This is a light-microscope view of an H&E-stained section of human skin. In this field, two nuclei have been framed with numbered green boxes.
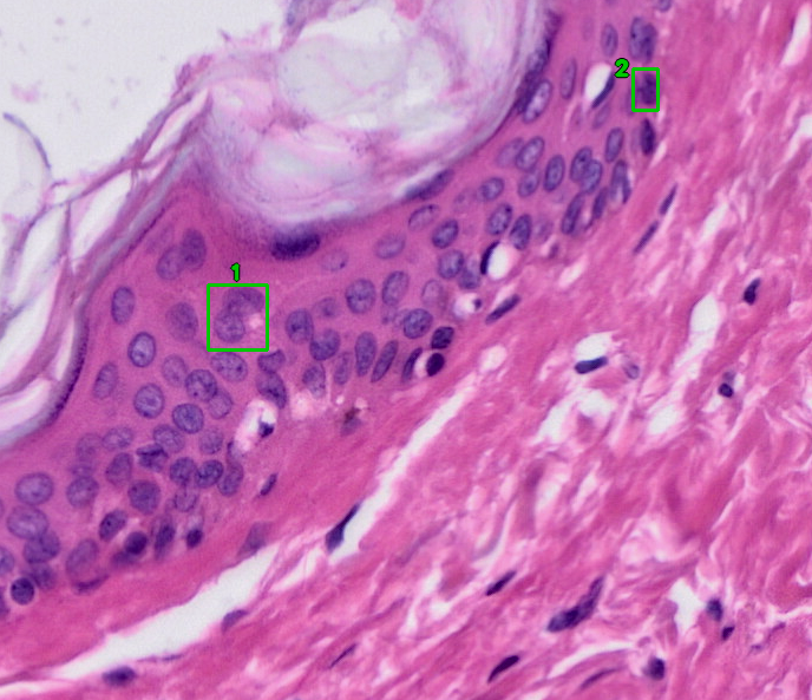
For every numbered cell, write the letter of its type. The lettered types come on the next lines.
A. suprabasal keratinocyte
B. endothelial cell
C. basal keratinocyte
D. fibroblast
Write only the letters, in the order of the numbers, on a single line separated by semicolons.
A; C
